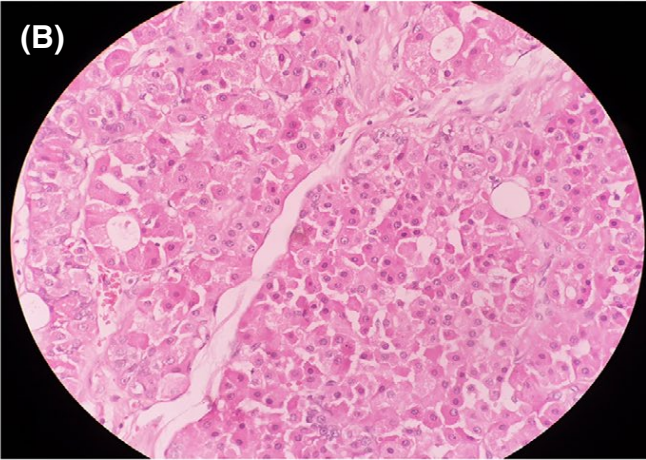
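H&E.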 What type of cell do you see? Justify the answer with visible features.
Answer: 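Oncocytes. Large polygonal cells with abundant granular pink cytoplasm. Round central nuclei with visible nucleoli. Distinct cell borders.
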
